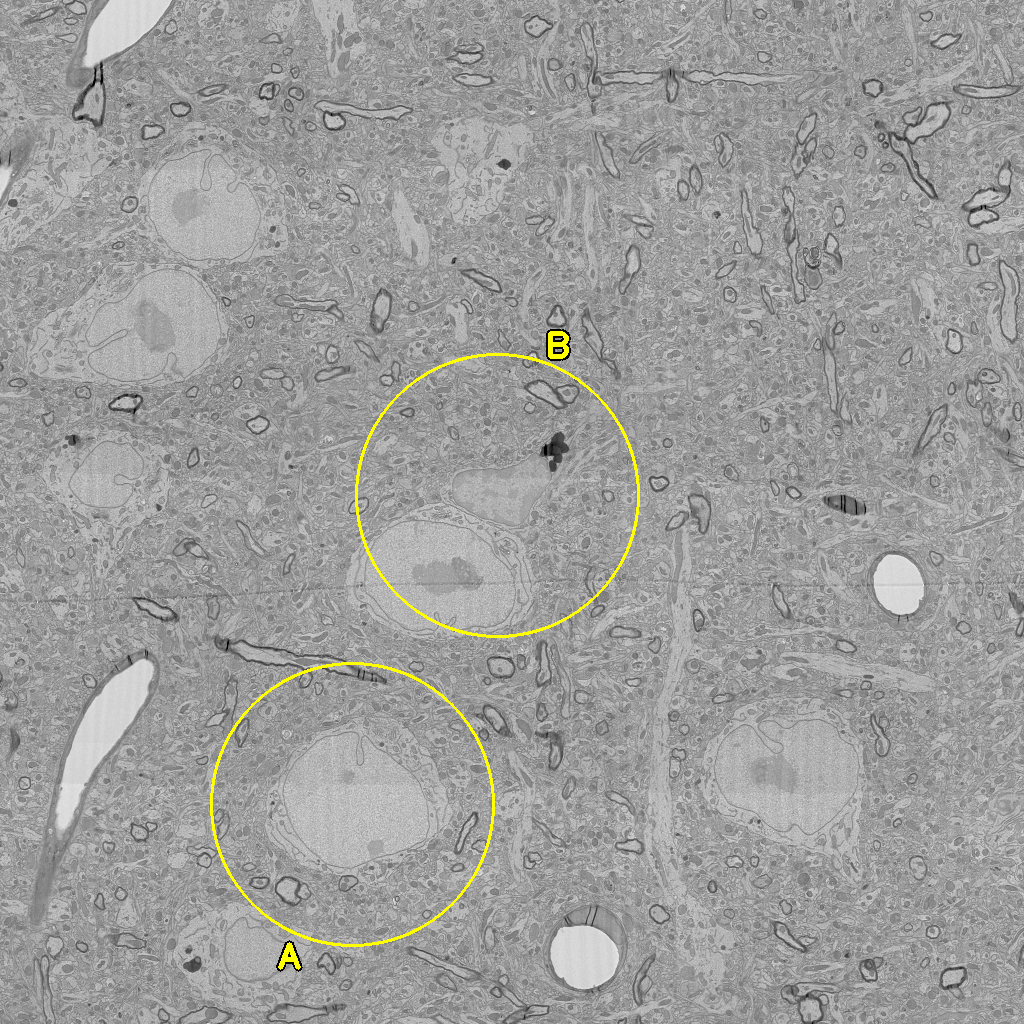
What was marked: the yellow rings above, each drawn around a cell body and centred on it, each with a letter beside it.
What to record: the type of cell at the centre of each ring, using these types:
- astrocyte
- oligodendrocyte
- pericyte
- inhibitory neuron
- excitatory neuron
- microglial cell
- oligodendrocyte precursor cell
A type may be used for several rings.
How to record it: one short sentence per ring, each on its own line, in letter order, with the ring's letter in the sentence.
Centred in ring A is an excitatory neuron.
Centred in ring B is a microglial cell.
